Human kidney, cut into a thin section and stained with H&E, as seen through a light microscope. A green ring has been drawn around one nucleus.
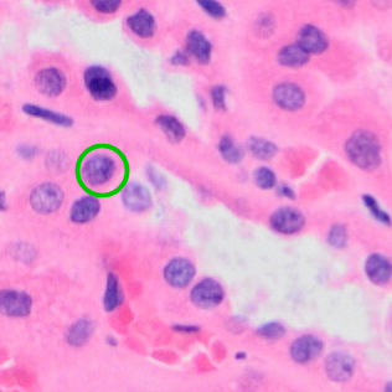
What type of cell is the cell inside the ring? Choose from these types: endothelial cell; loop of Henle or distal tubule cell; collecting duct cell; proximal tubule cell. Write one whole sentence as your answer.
In this field of tissue, the cell inside the ring is a loop of Henle or distal tubule cell.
